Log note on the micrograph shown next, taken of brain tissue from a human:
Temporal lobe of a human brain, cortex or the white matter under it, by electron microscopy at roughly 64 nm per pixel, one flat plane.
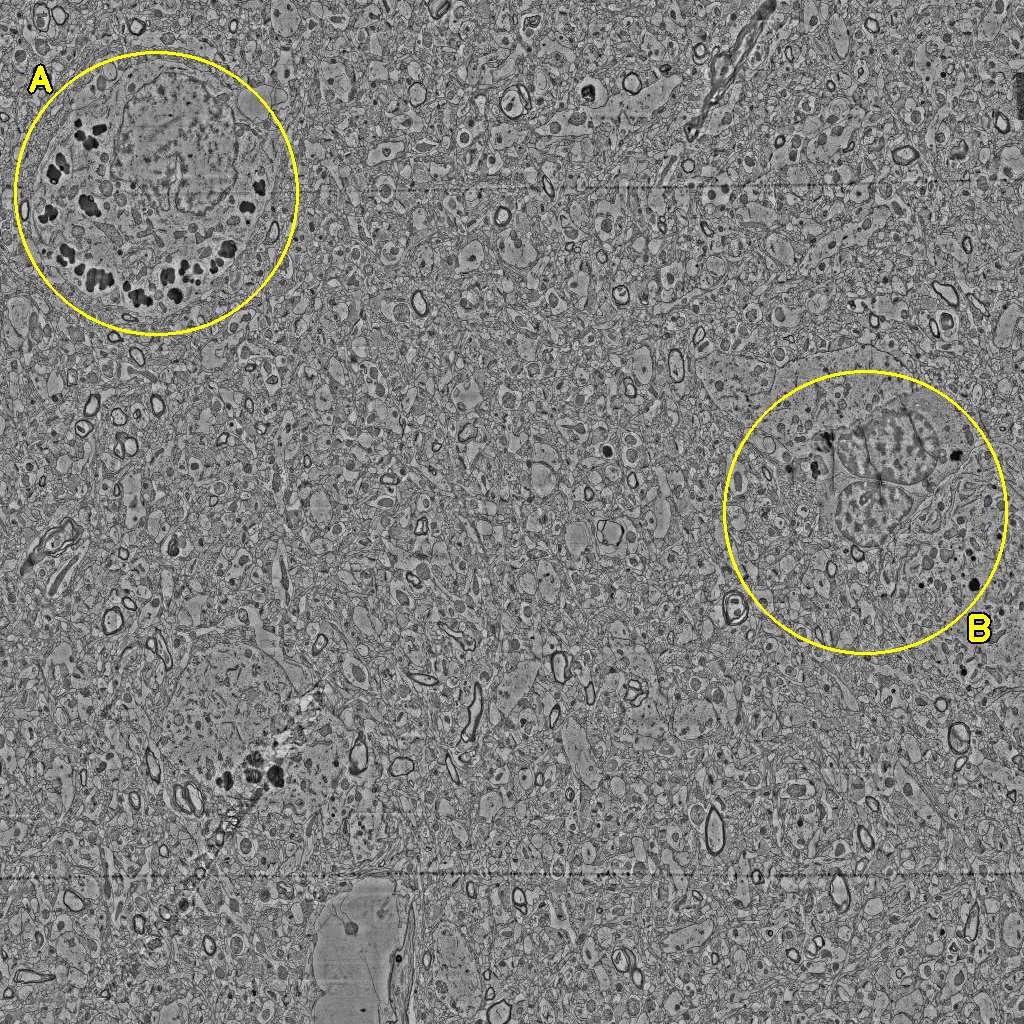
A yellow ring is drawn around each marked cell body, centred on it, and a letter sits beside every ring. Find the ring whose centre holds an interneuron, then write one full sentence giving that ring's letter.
In the picture, the cell asked for sits at the centre of ring A.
